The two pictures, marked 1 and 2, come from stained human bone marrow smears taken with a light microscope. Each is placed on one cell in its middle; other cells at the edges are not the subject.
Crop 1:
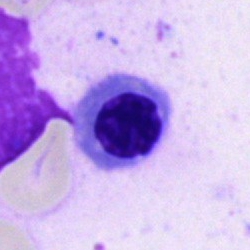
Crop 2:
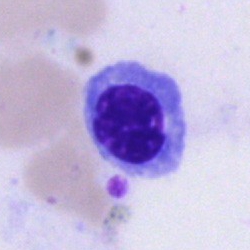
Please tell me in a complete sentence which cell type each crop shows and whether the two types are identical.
Yes, both crops are centred on erythroblasts.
